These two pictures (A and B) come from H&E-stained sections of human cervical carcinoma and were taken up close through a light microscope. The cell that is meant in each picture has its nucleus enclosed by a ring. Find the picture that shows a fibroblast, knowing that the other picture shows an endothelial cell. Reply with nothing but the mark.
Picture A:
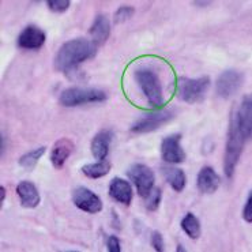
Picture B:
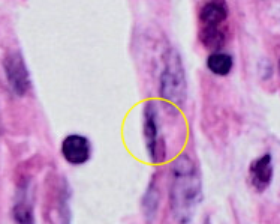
A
